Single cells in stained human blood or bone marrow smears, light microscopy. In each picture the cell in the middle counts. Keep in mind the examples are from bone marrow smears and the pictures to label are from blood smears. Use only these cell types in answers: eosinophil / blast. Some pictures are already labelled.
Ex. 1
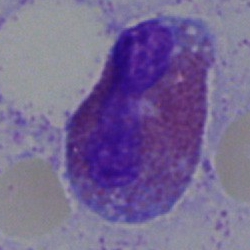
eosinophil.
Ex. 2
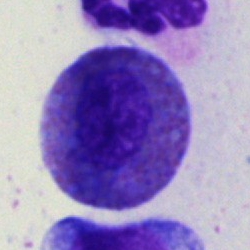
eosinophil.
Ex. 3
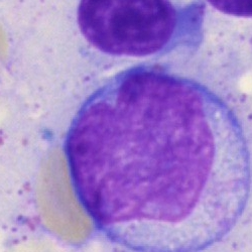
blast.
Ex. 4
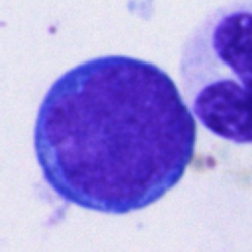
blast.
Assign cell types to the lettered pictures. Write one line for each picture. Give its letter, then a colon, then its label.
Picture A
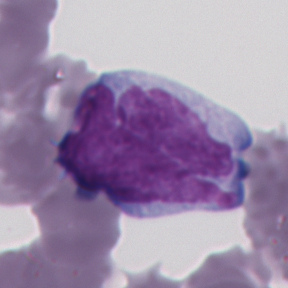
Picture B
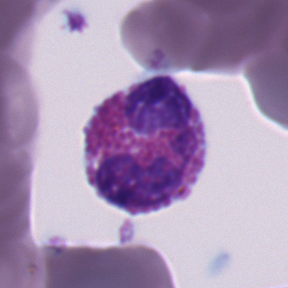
A: blast.
B: eosinophil.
